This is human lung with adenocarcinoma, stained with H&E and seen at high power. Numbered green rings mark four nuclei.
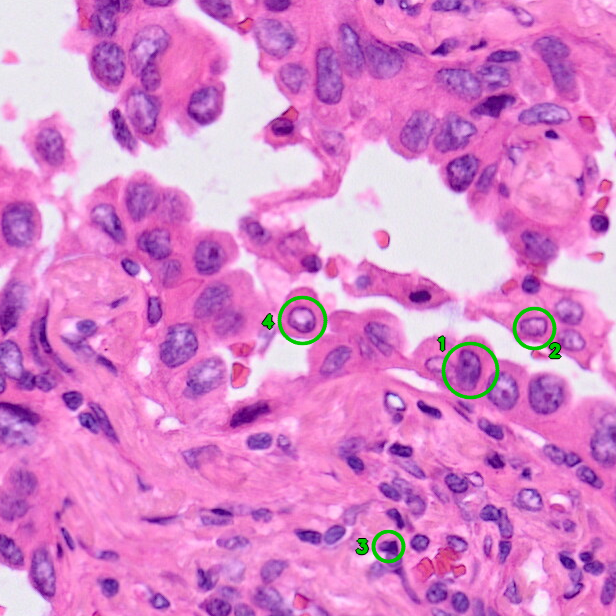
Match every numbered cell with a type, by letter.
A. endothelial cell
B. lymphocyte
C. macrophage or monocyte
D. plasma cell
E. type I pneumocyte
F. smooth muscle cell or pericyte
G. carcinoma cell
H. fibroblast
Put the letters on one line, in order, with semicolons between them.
G; C; B; C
